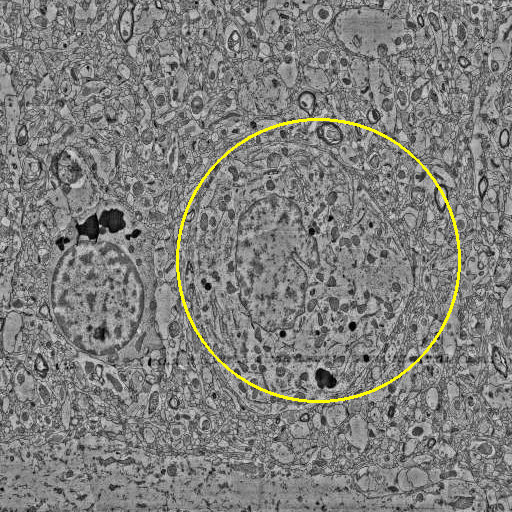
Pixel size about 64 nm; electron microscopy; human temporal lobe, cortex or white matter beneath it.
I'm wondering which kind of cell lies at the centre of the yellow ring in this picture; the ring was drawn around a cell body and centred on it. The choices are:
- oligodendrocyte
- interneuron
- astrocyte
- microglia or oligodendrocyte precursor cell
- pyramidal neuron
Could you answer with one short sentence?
At the centre of the ring lies an interneuron.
